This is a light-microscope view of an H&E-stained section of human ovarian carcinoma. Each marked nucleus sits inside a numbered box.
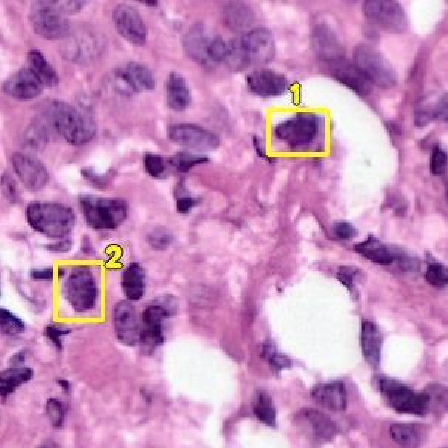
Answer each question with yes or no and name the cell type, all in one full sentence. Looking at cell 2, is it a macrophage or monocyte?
Yes, the cell numbered 2 in this tissue is a macrophage or monocyte.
